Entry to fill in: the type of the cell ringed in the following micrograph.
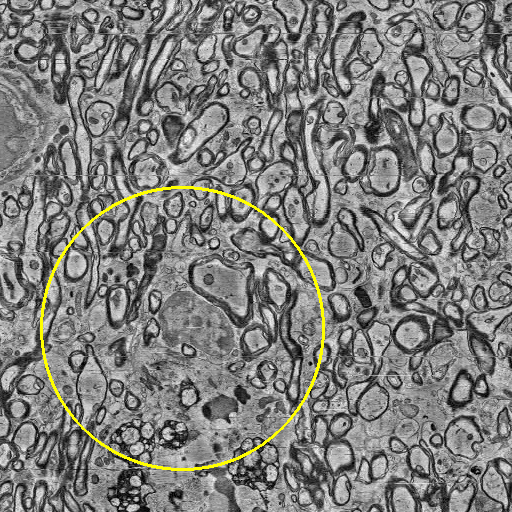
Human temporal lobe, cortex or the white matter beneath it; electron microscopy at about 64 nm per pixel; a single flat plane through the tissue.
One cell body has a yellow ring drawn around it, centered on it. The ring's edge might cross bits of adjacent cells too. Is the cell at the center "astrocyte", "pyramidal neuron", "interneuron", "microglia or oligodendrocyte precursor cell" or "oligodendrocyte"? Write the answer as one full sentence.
This entry names a microglial cell or oligodendrocyte precursor cell as the cell whose body lies at the ring's center.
